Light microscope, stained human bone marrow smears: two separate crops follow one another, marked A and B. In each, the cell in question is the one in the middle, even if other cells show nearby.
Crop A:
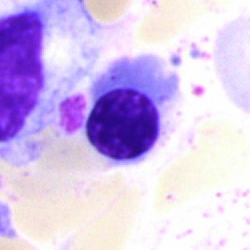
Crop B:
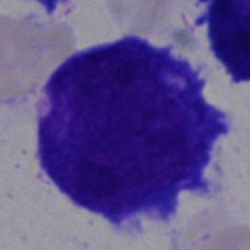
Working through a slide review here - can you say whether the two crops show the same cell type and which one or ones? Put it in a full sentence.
No, an erythroblast is in crop A, while a blast is in crop B.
